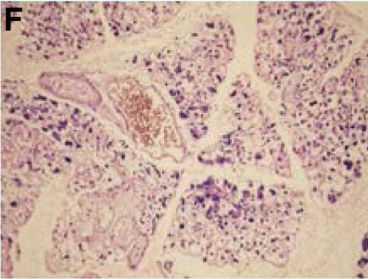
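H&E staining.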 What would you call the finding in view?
Necrosis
